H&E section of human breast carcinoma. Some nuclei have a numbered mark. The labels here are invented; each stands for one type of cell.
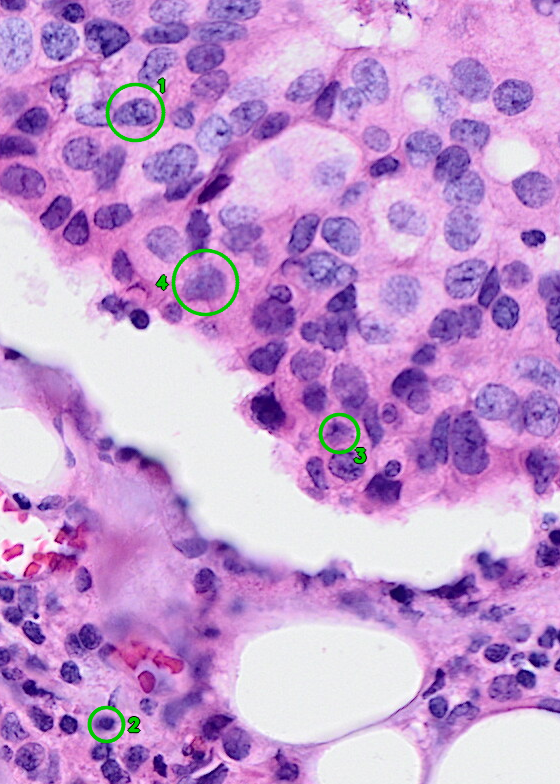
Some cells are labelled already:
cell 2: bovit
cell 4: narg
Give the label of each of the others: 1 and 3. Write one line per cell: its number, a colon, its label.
1: narg
3: narg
